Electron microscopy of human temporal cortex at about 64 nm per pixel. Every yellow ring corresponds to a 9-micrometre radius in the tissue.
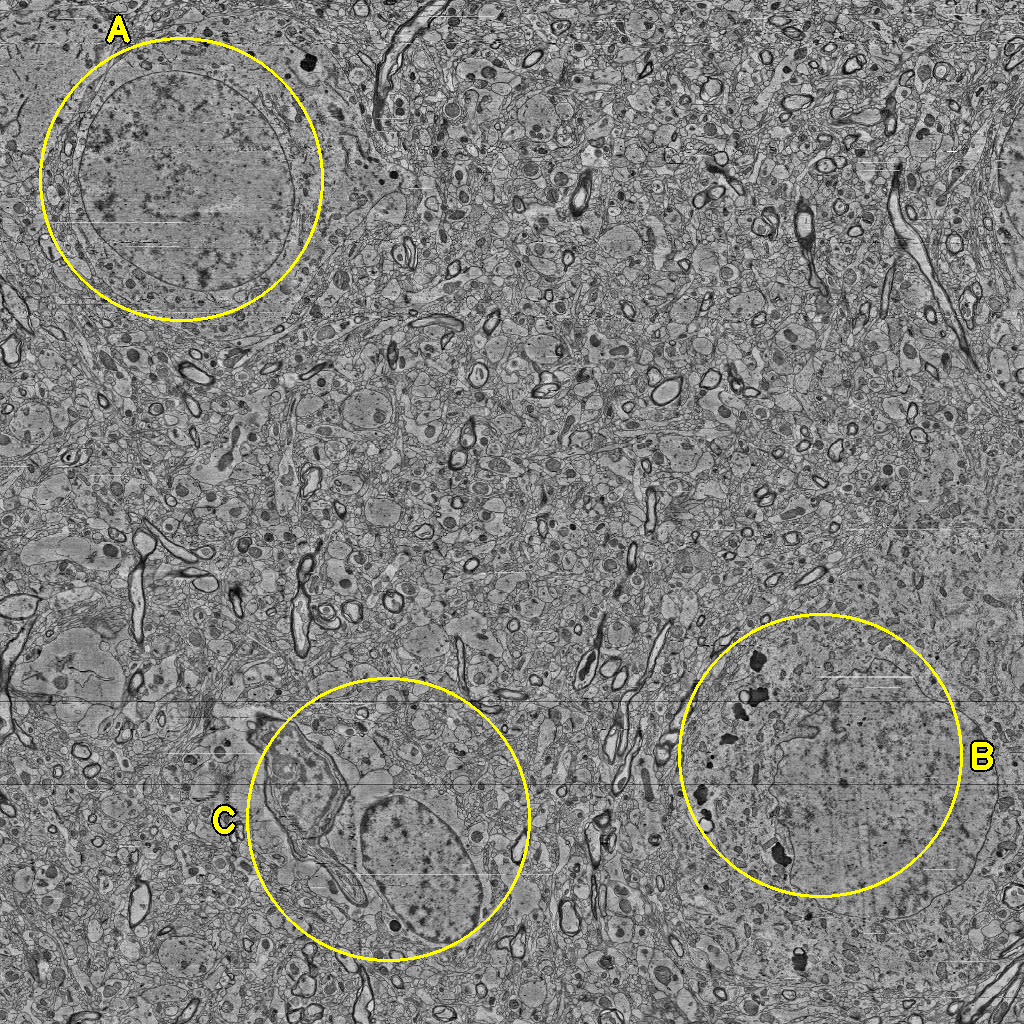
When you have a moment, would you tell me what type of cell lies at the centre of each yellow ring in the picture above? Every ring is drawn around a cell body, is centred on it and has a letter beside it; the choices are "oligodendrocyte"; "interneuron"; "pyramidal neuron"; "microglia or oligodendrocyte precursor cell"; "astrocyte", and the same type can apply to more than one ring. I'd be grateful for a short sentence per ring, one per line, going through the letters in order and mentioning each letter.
The cell at the centre of ring A is a pyramidal neuron.
The cell at the centre of ring B is a pyramidal neuron.
The cell at the centre of ring C is a microglial cell or oligodendrocyte precursor cell.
